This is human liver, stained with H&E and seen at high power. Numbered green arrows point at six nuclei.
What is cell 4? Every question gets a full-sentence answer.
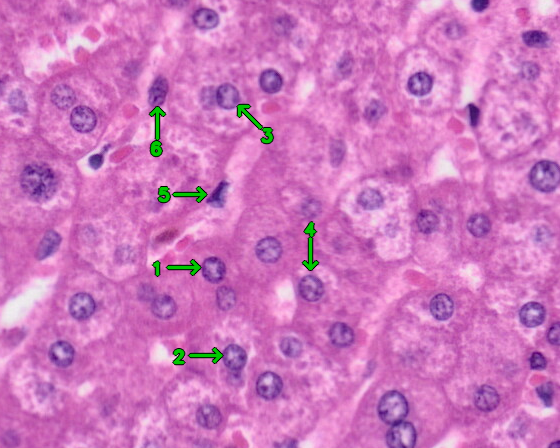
Cell 4 is classified as a hepatocyte.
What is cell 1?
The cell that carries the label 1 is a hepatocyte.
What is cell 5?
Regarding cell 5, this one is an endothelial cell.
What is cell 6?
Number 6 is placed on a Kupffer cell here.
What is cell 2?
Regarding cell 2, this one is a hepatocyte.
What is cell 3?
What the number 3 marks in this field is a hepatocyte.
